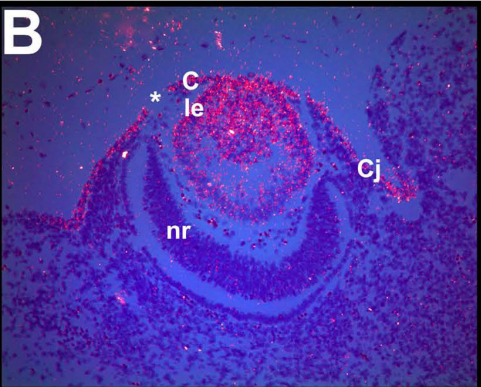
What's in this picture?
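The neural retina forms a thick curved layer of densely packed, darkly stained nuclei, with a thin outer layer separated from it by a narrow space. The lens is a rounded mass of cells covered by a thin surface epithelium that continues laterally into the conjunctival epithelium. Red grains are concentrated heavily over the lens and along the overlying and adjacent surface epithelium, while the retina carries few grains.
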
